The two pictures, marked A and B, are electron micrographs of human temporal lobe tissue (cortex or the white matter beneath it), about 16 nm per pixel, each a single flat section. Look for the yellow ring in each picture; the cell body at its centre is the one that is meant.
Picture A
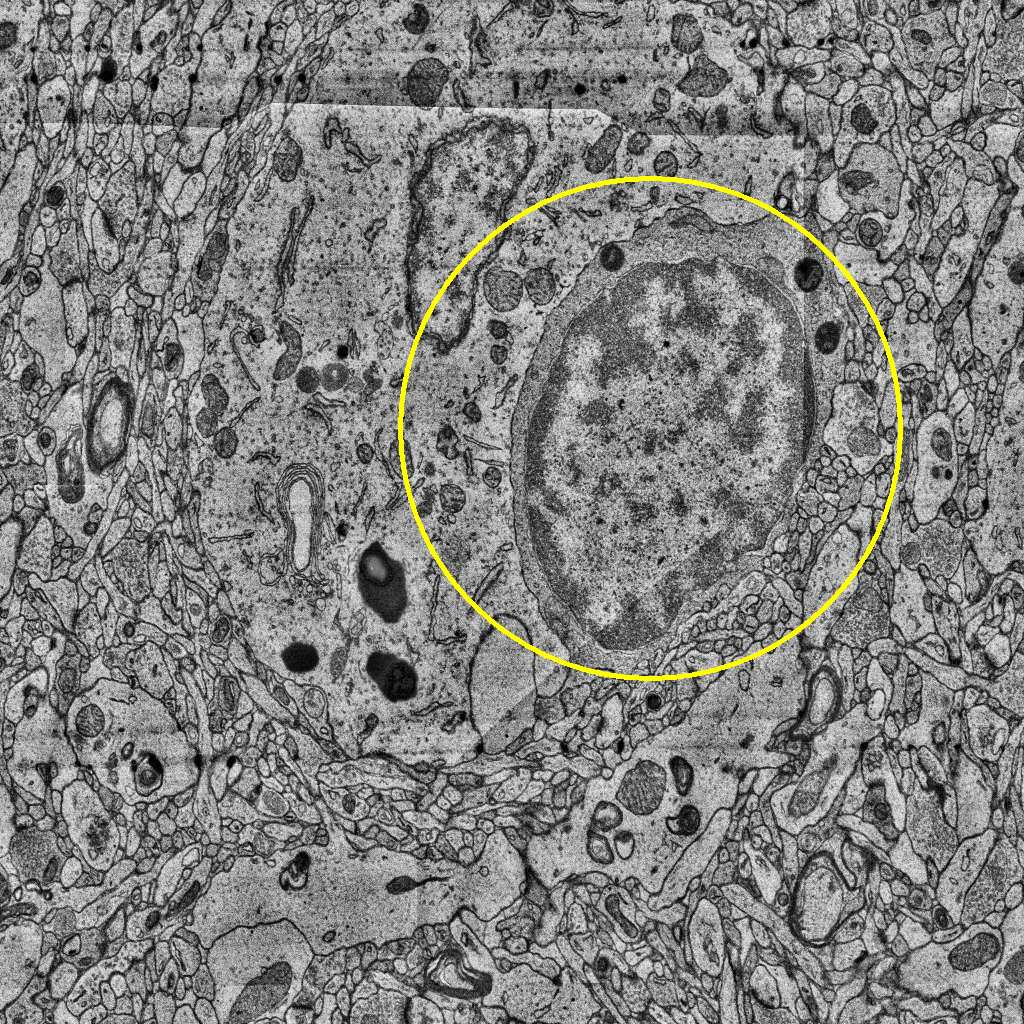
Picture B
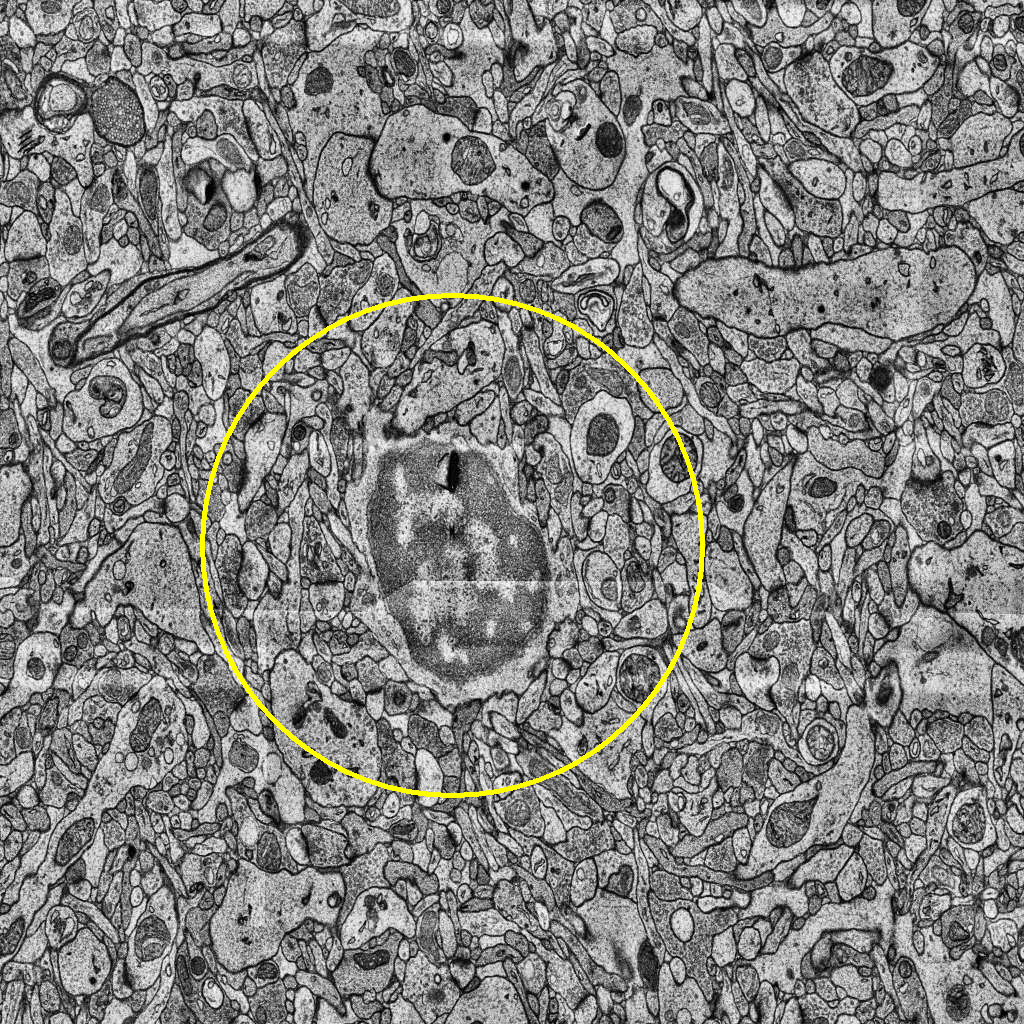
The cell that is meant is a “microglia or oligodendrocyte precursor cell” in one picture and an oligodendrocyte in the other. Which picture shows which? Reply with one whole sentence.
Picture A is of an oligodendrocyte, and picture B is of a “microglia or oligodendrocyte precursor cell”.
